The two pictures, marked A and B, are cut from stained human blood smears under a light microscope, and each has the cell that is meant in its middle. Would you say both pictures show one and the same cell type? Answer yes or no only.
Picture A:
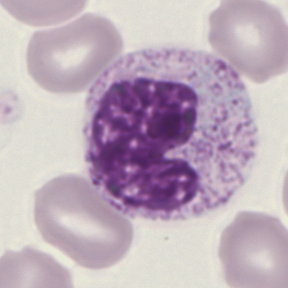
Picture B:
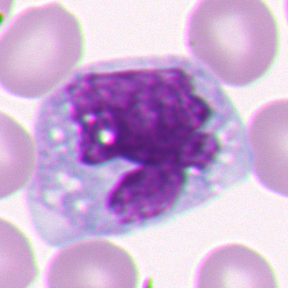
no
